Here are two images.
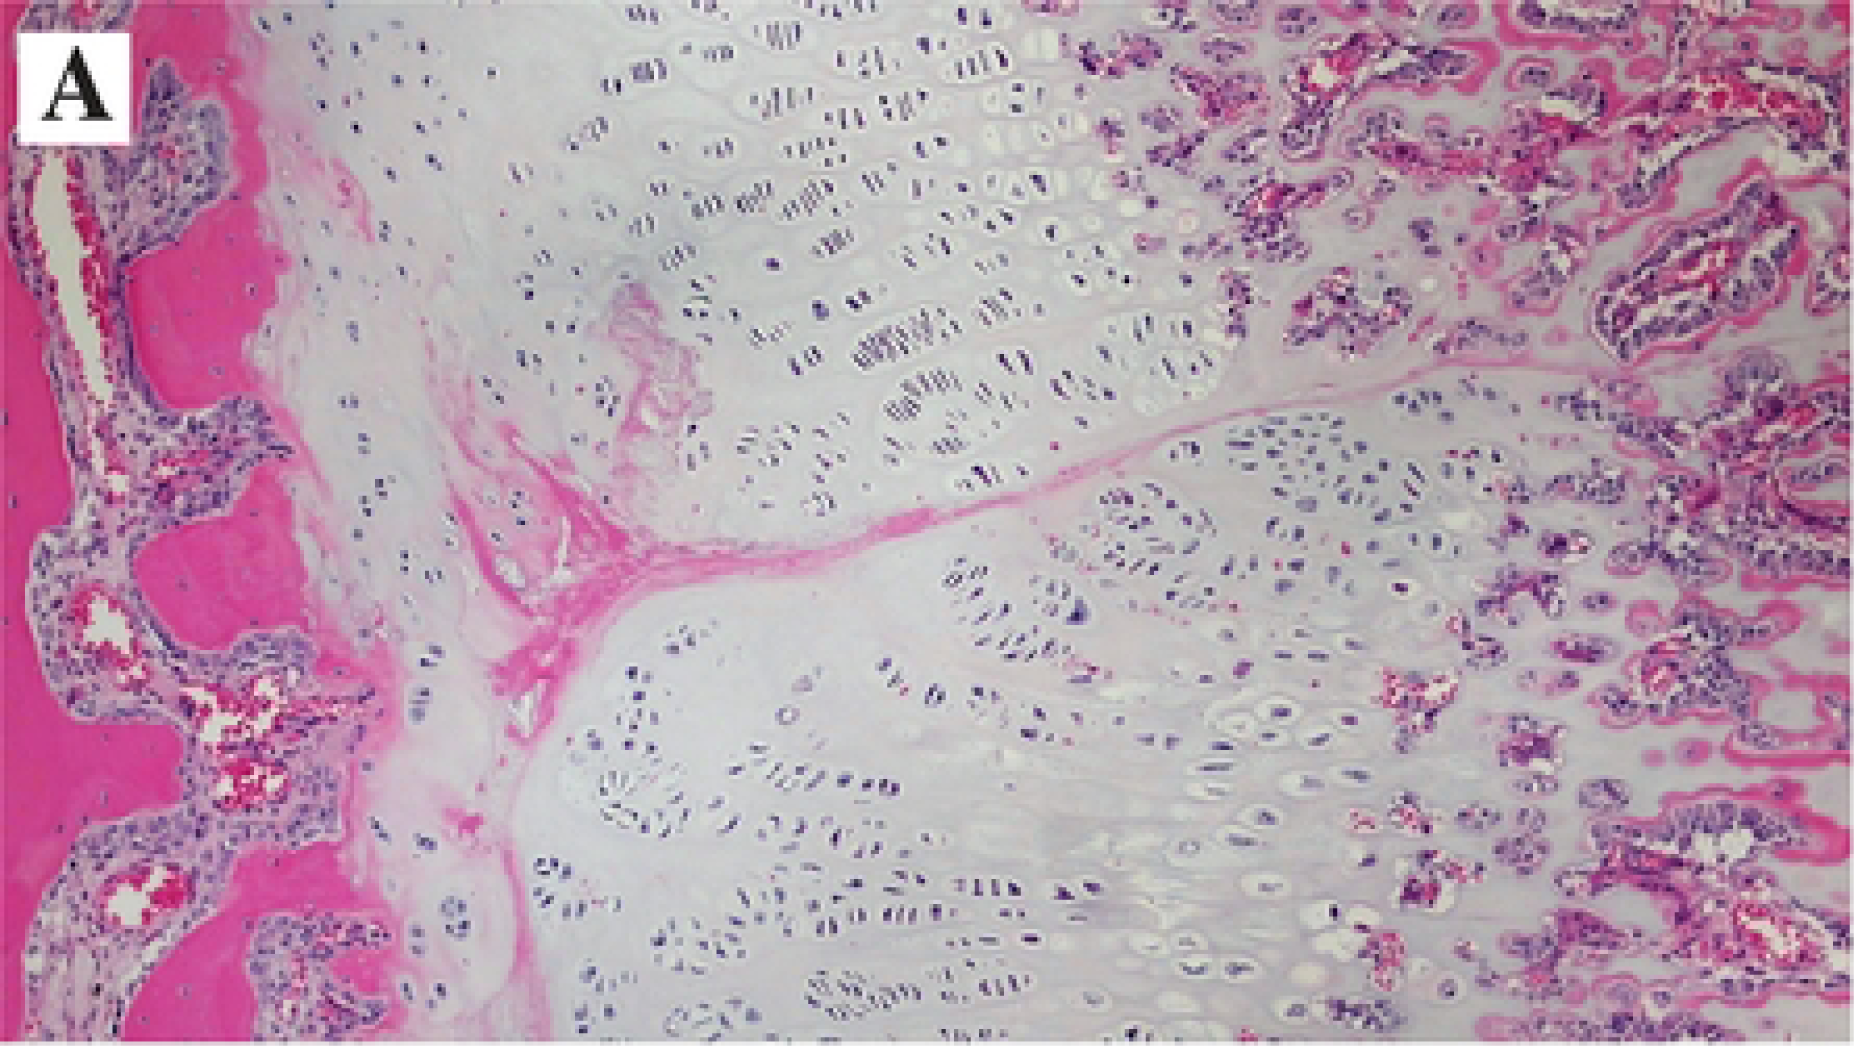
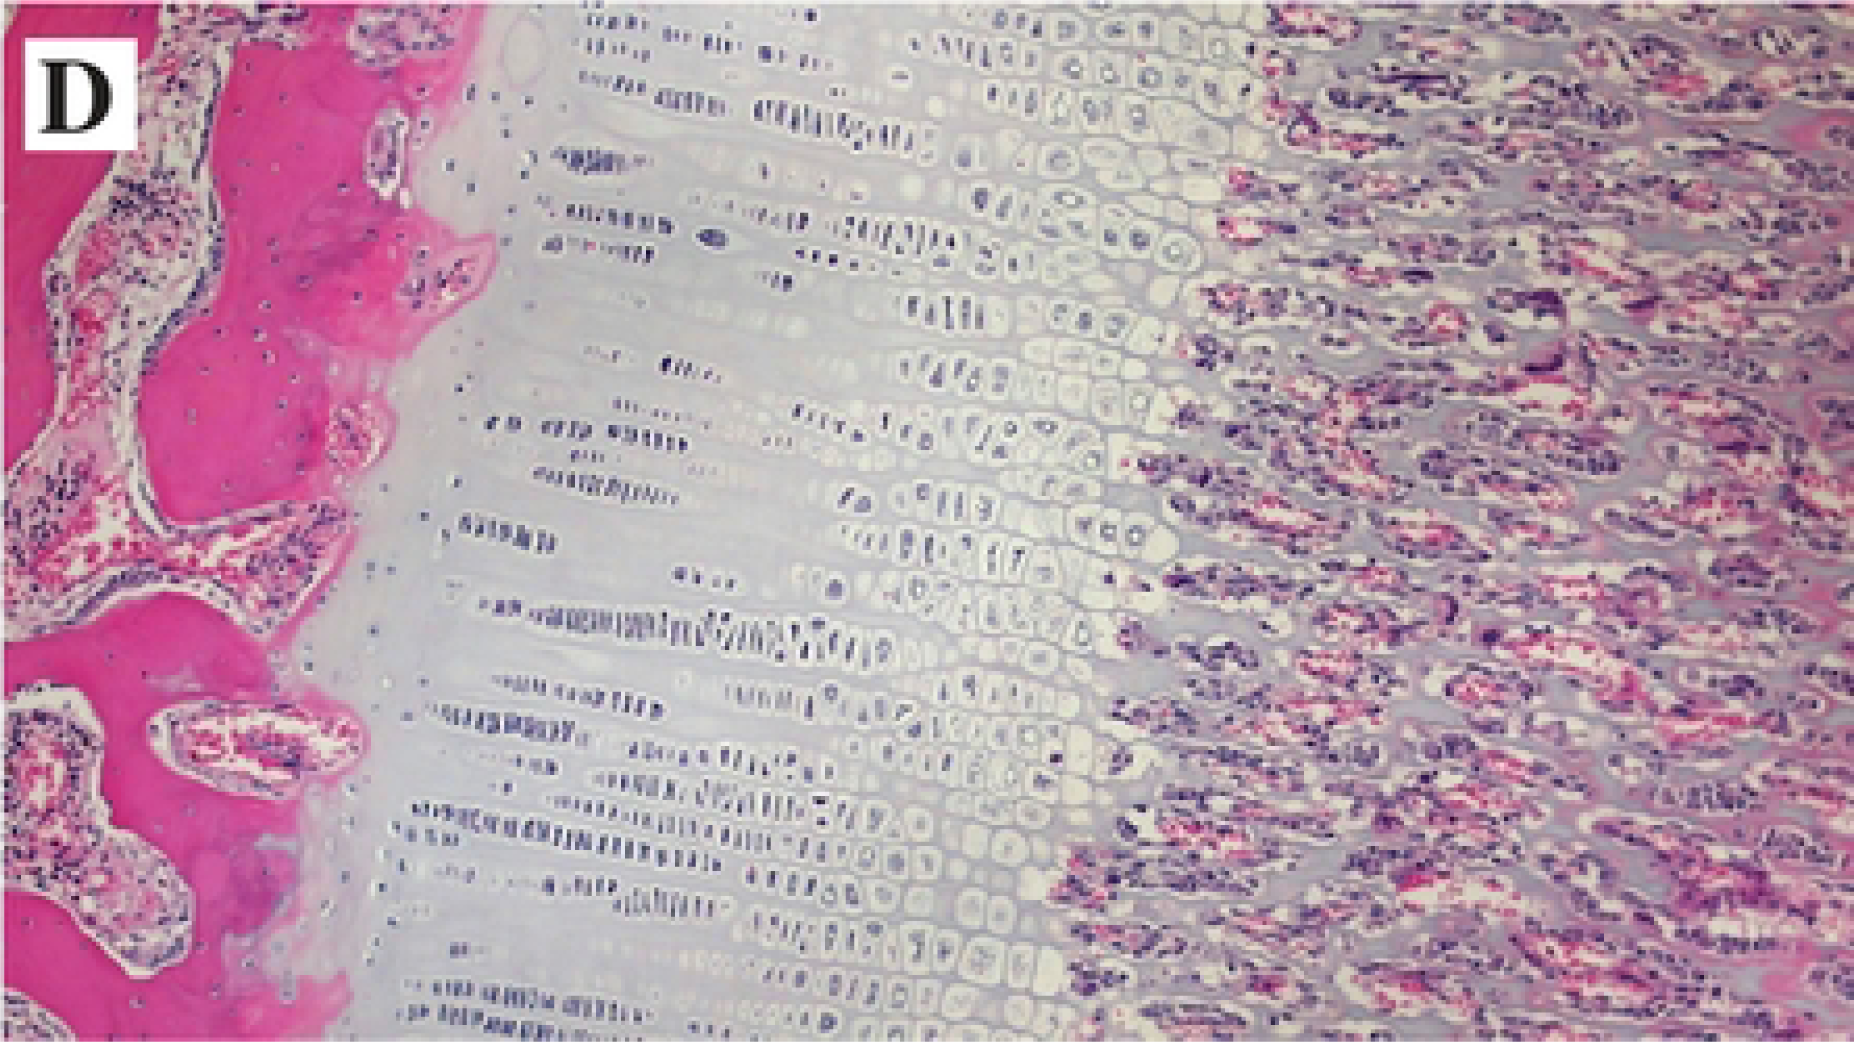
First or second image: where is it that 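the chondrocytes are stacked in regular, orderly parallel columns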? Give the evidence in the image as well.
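Second image: long straight parallel columns of flattened then enlarged chondrocytes across the plate. First image: chondrocyte clusters are short, uneven and haphazardly arranged, with pale acellular areas.
The second image.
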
